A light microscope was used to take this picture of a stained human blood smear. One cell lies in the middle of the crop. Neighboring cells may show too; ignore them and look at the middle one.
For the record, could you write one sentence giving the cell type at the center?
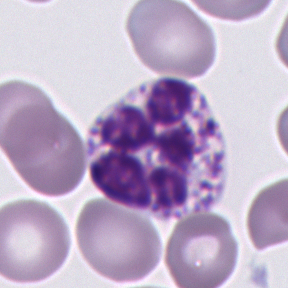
Of the cells in this crop, the central one is a basophil.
